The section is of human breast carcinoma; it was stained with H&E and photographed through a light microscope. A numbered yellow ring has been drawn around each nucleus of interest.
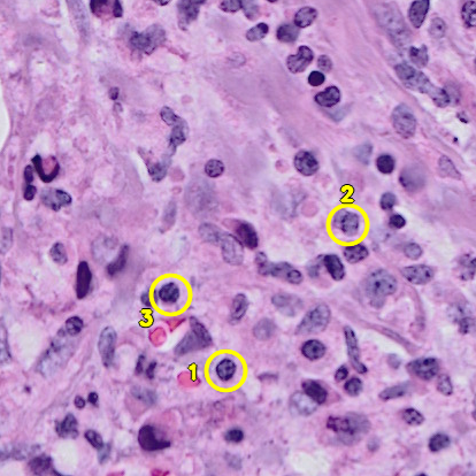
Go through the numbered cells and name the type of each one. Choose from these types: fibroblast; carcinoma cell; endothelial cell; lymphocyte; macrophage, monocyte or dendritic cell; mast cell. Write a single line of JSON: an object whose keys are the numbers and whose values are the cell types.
{"1": "lymphocyte", "2": "mast cell", "3": "lymphocyte"}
